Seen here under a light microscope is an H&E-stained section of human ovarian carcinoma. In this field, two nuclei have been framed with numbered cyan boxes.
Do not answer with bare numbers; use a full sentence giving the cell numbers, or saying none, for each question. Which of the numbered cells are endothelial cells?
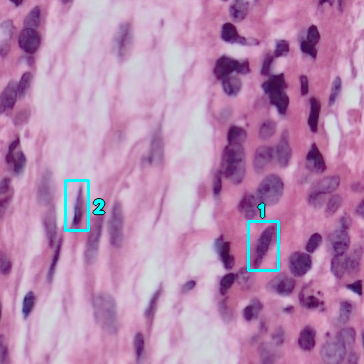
Of those with numbers, only cell 1 is an endothelial cell.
